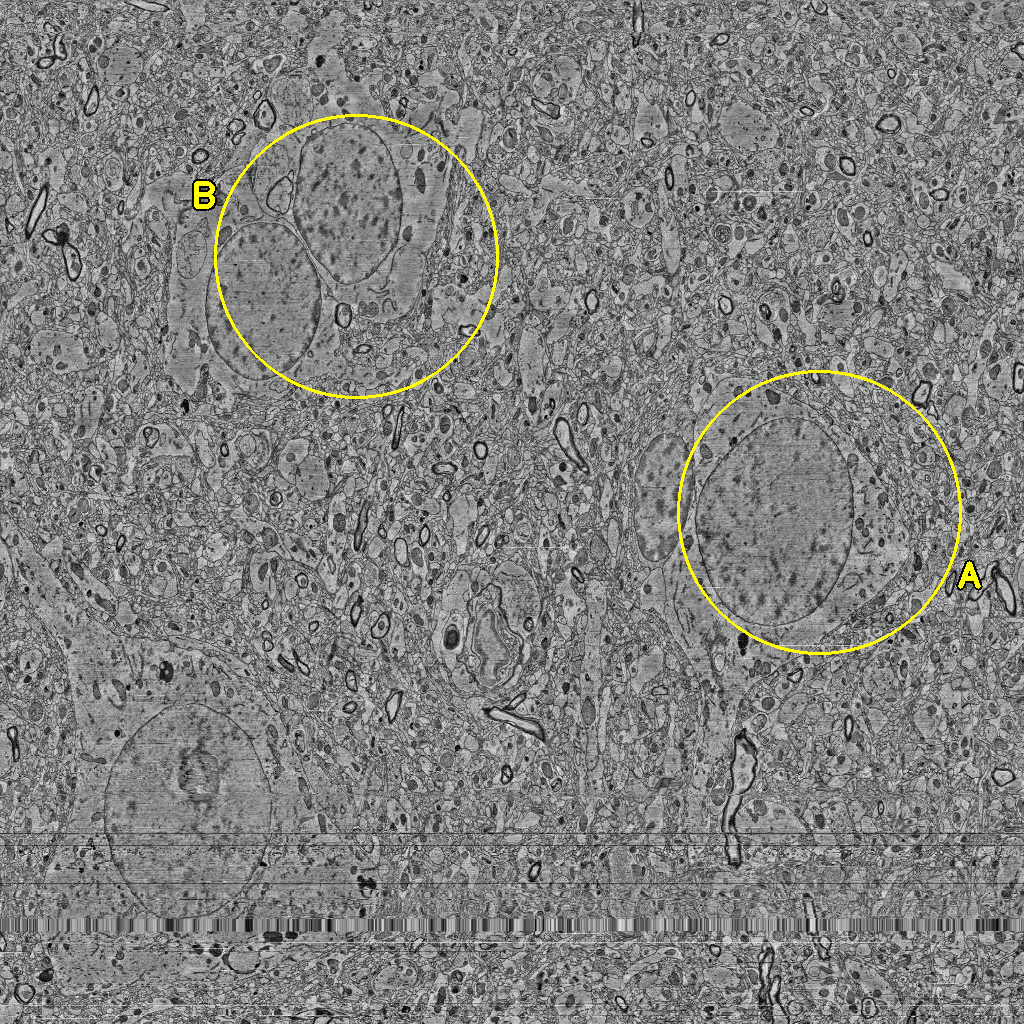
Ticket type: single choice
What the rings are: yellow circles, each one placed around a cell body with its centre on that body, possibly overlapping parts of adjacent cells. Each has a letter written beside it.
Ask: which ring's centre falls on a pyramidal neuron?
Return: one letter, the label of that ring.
A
